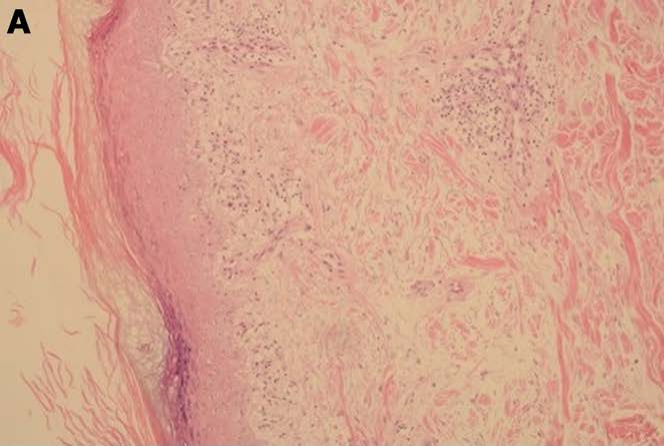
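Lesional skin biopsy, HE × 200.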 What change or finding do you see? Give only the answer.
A: Hyperkeratosis.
